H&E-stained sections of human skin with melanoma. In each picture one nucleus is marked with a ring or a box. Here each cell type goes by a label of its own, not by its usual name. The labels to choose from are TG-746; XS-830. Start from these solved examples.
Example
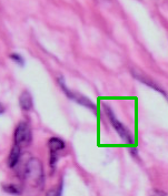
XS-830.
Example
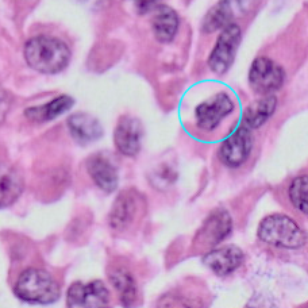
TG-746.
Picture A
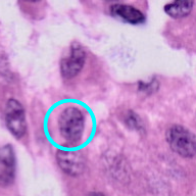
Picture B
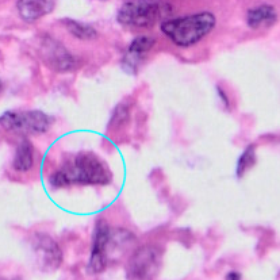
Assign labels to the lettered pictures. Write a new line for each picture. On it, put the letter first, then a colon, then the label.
A: TG-746.
B: TG-746.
